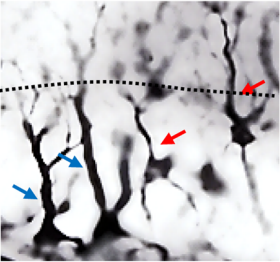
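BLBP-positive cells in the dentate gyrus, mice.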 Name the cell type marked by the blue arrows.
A: Radial glia-like stem cells.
